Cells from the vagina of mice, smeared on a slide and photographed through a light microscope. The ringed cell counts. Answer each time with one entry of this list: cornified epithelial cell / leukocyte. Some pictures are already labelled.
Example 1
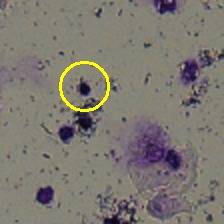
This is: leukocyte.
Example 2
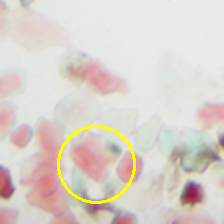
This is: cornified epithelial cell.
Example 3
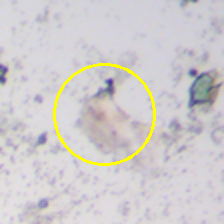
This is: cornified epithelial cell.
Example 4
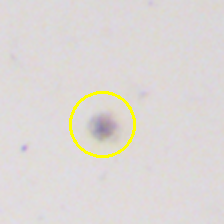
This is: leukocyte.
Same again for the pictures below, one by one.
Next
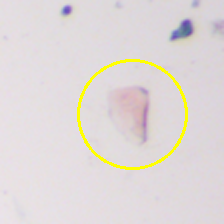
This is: cornified epithelial cell.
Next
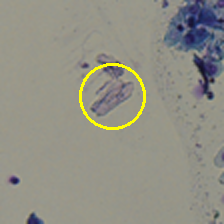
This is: cornified epithelial cell.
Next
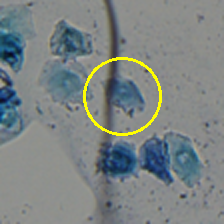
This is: cornified epithelial cell.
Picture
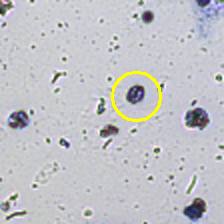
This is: leukocyte.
